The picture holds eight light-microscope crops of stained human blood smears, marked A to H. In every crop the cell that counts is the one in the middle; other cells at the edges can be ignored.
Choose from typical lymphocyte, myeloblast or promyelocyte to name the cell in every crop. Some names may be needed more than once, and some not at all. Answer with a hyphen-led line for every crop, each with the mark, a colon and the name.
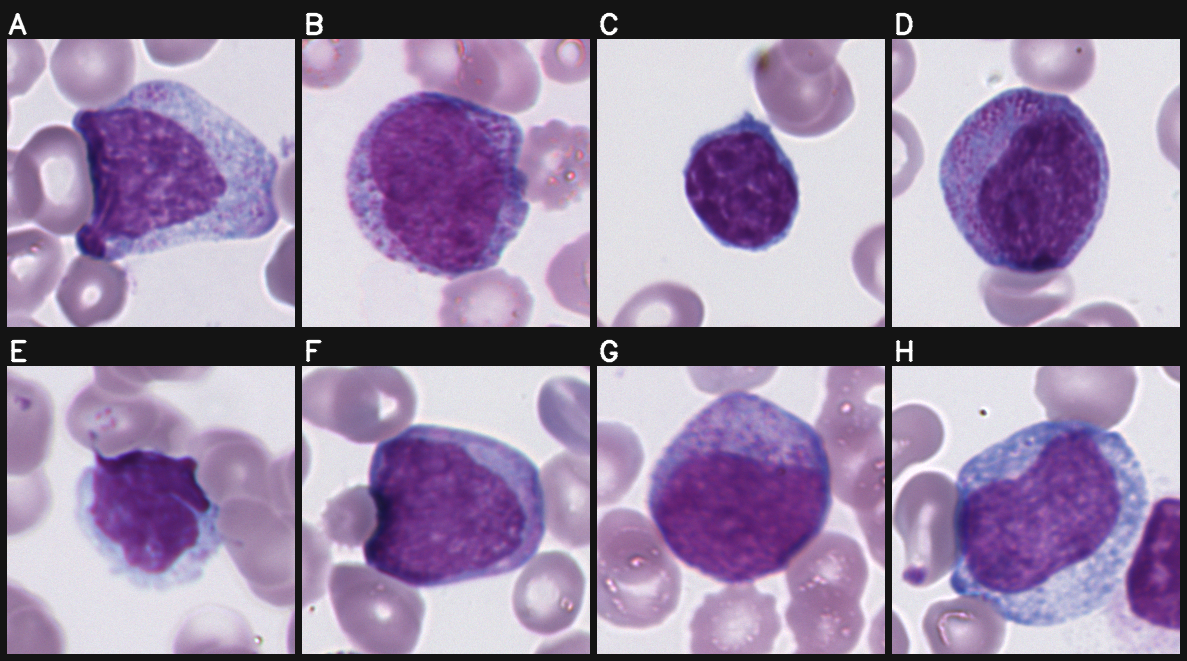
- A: promyelocyte
- B: promyelocyte
- C: typical lymphocyte
- D: promyelocyte
- E: typical lymphocyte
- F: promyelocyte
- G: promyelocyte
- H: promyelocyte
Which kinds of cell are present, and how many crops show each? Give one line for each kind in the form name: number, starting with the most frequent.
promyelocyte: 6
typical lymphocyte: 2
